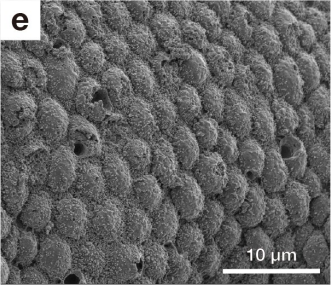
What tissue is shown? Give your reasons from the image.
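A surface of closely packed dome-shaped cell apices.
Conclusion: mucosal epithelium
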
